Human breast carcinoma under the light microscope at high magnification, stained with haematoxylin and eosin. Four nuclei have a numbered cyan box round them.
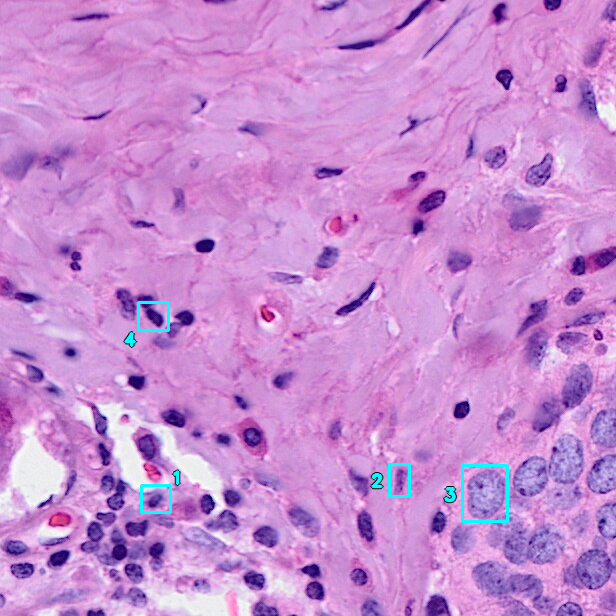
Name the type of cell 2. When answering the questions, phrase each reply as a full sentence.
The mark numbered 2 indicates the nucleus of a fibroblast.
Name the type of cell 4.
To a lymphocyte belongs the nucleus marked 4.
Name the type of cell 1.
The one labeled 1 is a lymphocyte, to put it simply.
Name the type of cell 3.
Heads up, the cell numbered 3 is a carcinoma cell.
